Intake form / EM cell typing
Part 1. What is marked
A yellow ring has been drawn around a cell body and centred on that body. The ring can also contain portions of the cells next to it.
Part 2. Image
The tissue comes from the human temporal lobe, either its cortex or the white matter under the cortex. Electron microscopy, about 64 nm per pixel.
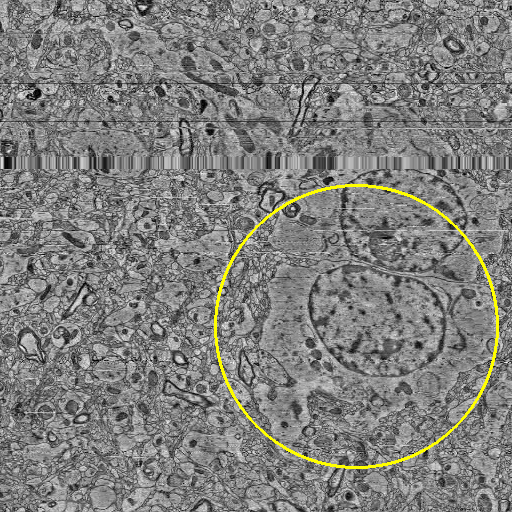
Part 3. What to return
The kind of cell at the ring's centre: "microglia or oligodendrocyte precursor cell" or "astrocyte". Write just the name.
astrocyte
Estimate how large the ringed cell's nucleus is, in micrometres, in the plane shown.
The ringed cell's nucleus measures approximately 9 by 8 micrometres in this plane.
